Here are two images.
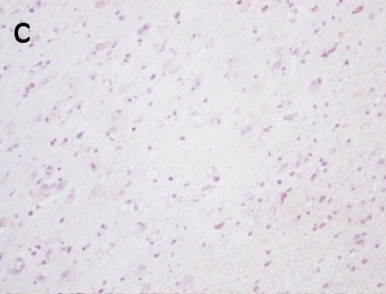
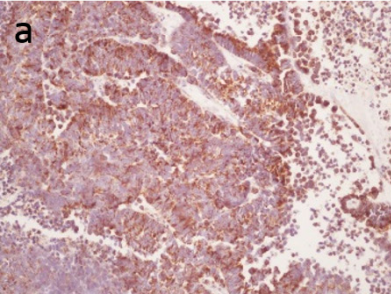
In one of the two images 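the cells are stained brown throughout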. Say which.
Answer: the second image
